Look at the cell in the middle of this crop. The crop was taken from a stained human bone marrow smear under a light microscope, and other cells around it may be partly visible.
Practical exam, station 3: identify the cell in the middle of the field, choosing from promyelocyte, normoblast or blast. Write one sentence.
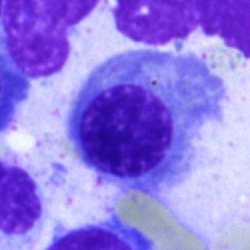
For this crop, the central cell is a normoblast.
